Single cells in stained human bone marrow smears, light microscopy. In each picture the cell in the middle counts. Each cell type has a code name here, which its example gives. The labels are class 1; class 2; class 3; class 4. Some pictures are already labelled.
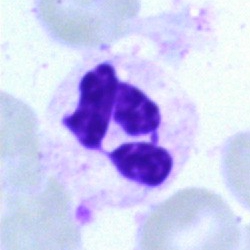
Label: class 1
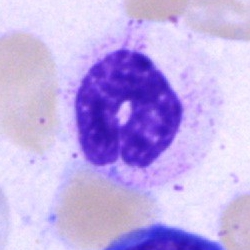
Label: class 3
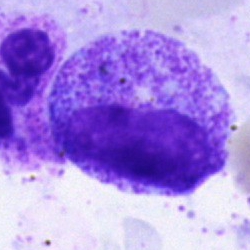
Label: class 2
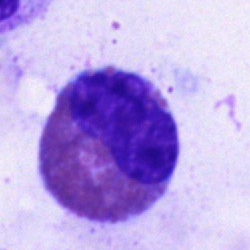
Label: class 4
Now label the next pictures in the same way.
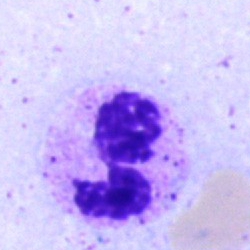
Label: class 1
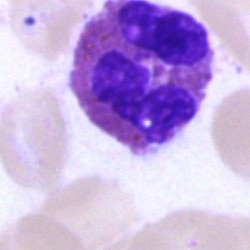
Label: class 4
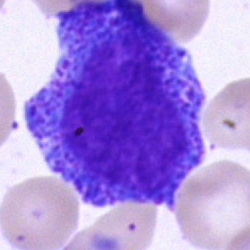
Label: class 2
